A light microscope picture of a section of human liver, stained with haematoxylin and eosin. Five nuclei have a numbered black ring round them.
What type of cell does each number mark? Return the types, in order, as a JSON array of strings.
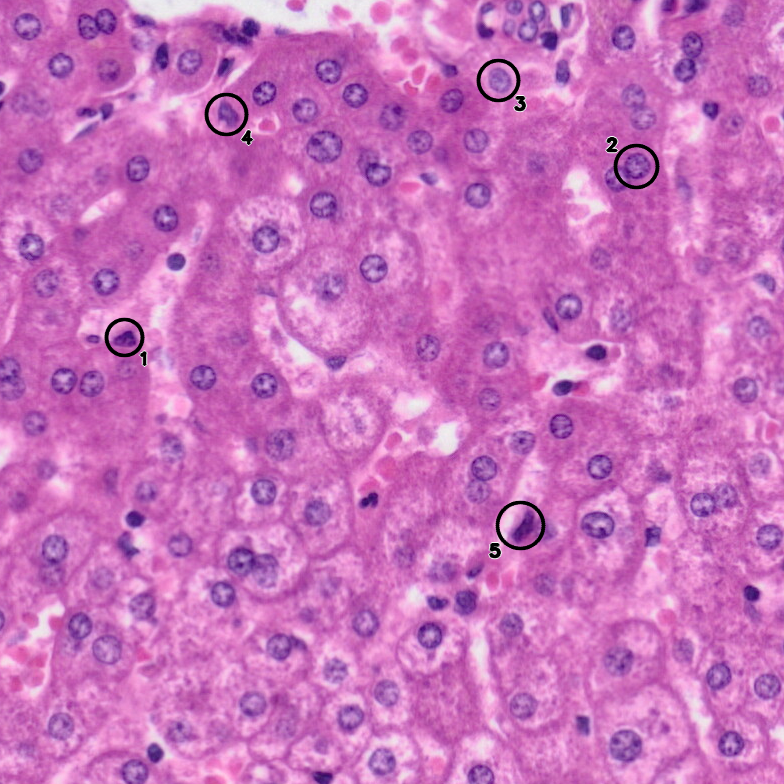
["fibroblast or stellate cell", "hepatocyte", "cholangiocyte", "fibroblast or stellate cell", "Kupffer cell"]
